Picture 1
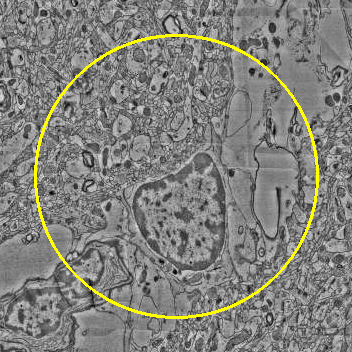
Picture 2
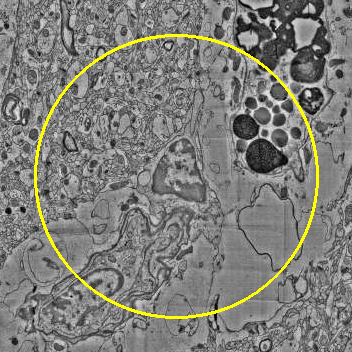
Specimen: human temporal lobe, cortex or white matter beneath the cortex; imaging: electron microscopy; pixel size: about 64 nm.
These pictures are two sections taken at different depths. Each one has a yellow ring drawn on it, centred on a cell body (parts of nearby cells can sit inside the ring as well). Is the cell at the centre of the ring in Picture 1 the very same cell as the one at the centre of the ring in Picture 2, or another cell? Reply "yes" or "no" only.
yes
